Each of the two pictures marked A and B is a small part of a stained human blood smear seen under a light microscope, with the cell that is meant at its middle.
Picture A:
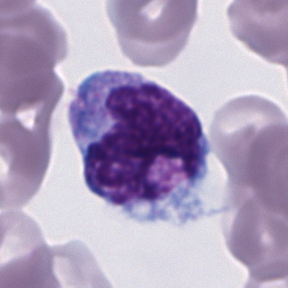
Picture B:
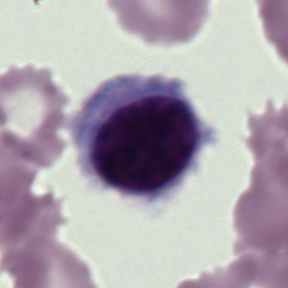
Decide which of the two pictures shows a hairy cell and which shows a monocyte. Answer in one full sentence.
The cell in picture A is a monocyte, and the one in picture B is a hairy cell.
